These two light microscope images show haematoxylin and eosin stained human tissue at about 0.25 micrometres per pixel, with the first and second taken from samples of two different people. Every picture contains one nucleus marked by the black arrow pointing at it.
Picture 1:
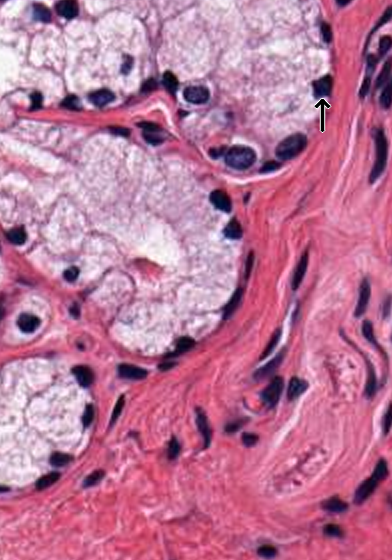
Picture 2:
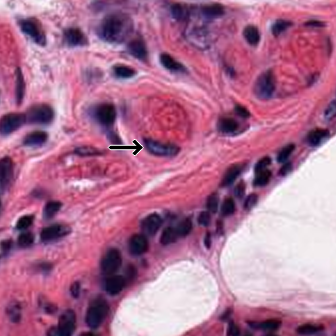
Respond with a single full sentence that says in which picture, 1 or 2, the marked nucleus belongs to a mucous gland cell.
It is the marked nucleus of picture 1 that belongs to a mucous gland cell.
